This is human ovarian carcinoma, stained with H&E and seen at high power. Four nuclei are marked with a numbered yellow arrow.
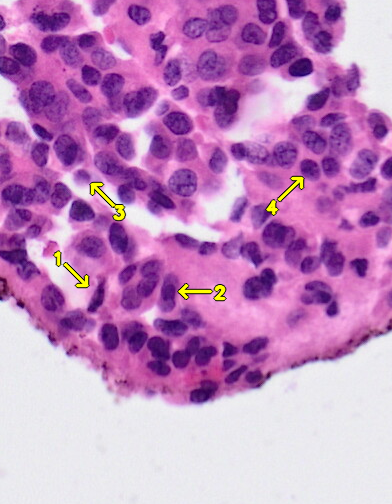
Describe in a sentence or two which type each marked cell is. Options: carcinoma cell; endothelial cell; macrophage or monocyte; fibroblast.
Cell 1 is a macrophage or monocyte. Cells 2, 3 and 4 are carcinoma cells.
